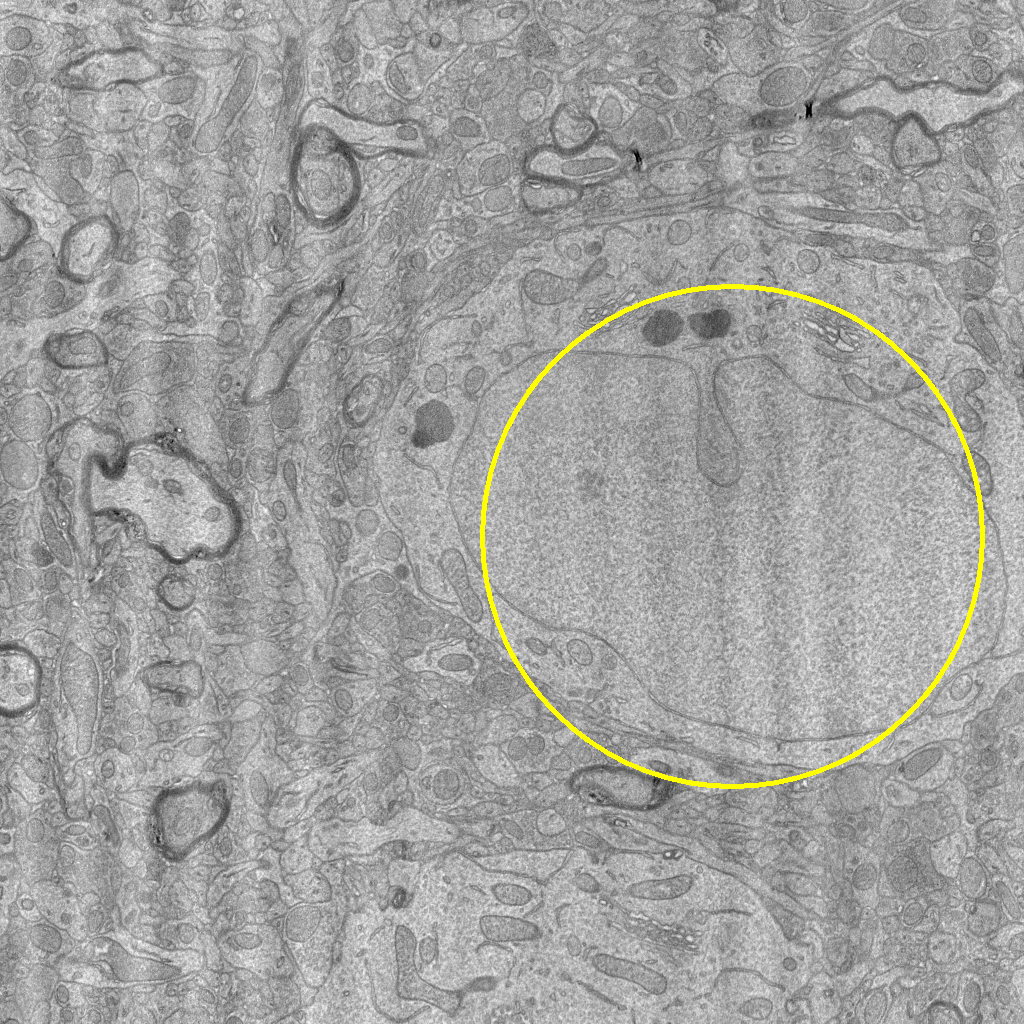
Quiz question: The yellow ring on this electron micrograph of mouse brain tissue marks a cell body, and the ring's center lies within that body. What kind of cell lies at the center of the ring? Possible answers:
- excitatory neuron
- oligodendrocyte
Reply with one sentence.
The ring's center lies on an excitatory neuron.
